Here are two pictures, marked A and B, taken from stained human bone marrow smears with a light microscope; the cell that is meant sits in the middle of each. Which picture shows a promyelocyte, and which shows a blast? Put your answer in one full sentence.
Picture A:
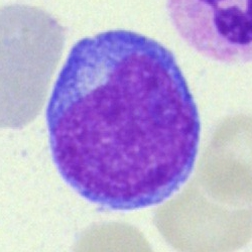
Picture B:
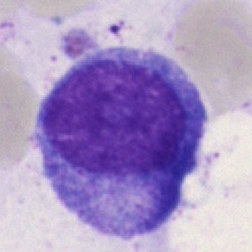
Picture A shows a blast and picture B shows a promyelocyte.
